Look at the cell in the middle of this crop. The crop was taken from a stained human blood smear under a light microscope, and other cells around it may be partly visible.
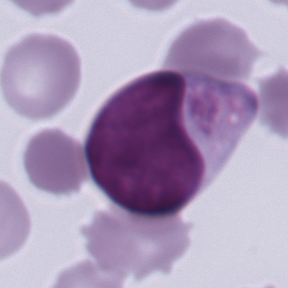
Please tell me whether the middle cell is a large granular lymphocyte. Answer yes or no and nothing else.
no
